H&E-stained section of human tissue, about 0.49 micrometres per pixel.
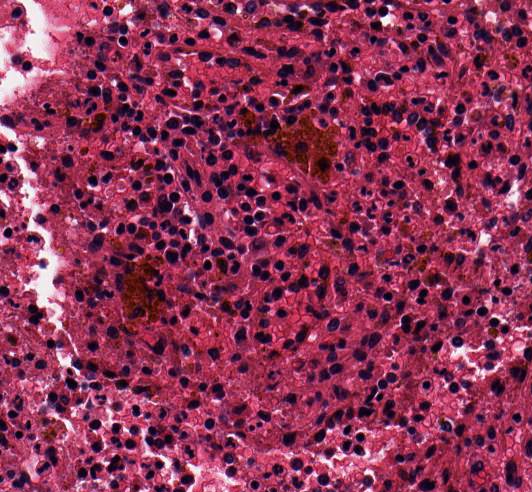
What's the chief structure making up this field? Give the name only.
red pulp of the spleen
